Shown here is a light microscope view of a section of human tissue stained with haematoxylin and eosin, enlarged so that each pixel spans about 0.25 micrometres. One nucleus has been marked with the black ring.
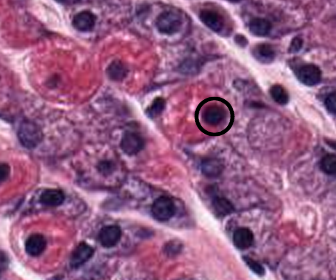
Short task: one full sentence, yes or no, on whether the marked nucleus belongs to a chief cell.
No, the marked nucleus is located in a parietal cell instead of in a chief cell.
